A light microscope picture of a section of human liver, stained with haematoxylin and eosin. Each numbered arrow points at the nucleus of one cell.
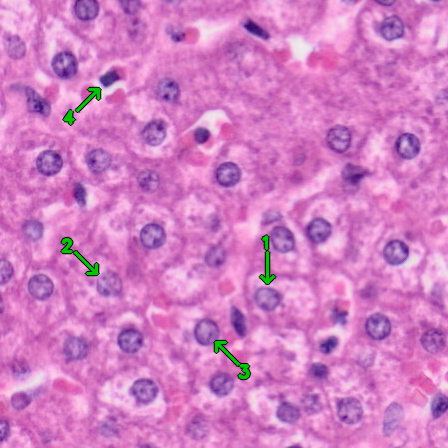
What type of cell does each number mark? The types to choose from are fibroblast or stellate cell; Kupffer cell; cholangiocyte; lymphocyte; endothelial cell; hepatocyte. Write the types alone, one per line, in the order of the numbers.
hepatocyte
hepatocyte
hepatocyte
lymphocyte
